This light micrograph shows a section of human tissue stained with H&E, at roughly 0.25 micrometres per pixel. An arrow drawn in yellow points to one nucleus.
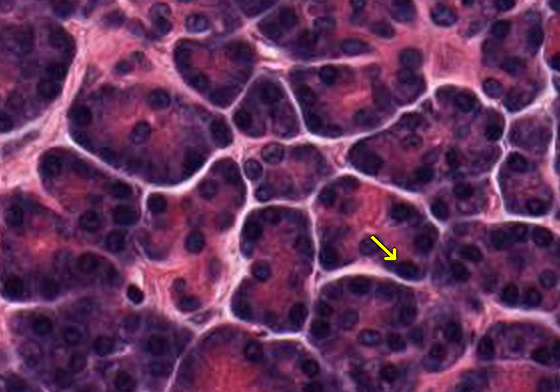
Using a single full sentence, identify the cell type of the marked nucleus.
Belonging to a pancreatic acinar cell is the marked nucleus.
